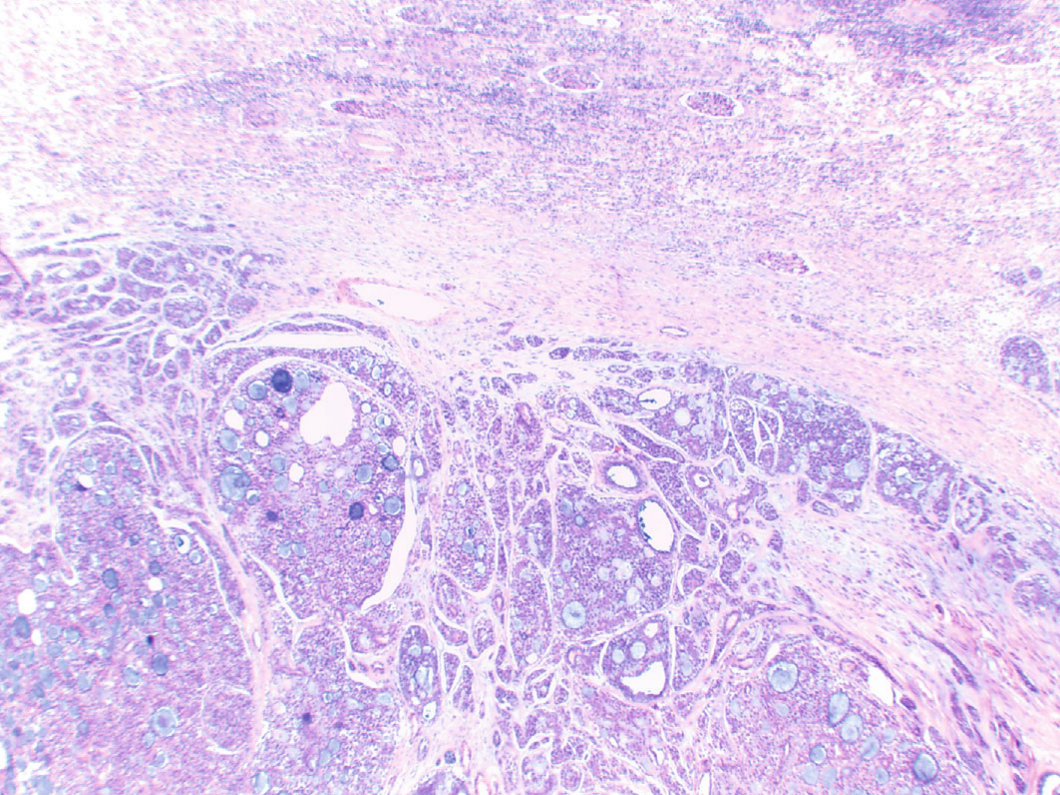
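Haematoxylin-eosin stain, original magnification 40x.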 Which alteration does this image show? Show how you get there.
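Nests of small basophilic cells fill the lower half. The nests are pierced by many round, punched-out spaces holding pale blue-grey material. The nests are separated by thin fibrous septa.
Answer: adenoid cystic carcinoma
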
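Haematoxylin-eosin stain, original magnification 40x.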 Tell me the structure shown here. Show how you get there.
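Cribriform histological pattern. Tumour nests are perforated by numerous round spaces, giving a sieve-like look. The round spaces vary in size and hold pale bluish material.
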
